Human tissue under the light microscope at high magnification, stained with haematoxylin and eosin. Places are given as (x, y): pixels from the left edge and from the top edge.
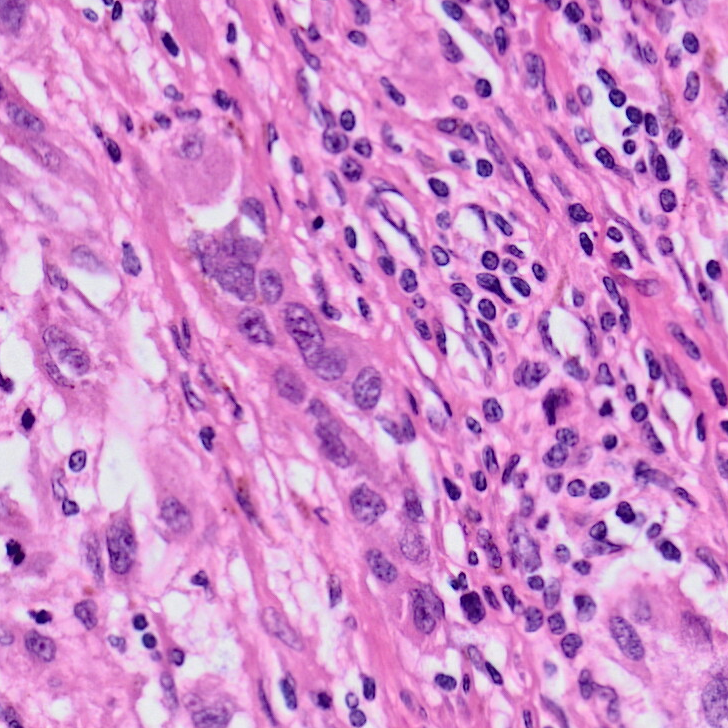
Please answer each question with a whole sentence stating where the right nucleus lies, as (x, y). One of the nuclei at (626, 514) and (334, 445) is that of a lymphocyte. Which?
So, of the two, the nucleus at (626, 514) is the one belonging to a lymphocyte.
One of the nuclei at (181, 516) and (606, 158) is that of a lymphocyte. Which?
Of the pair, the nucleus positioned at (606, 158) is that of a lymphocyte.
